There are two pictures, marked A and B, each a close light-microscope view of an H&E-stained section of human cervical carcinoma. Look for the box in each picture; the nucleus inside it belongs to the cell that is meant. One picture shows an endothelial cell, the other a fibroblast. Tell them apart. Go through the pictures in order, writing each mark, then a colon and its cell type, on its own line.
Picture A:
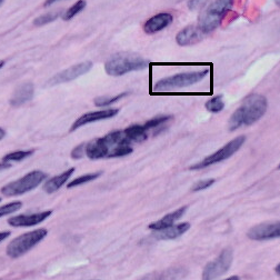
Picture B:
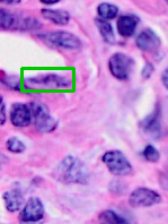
A: fibroblast
B: endothelial cell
